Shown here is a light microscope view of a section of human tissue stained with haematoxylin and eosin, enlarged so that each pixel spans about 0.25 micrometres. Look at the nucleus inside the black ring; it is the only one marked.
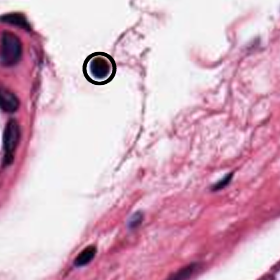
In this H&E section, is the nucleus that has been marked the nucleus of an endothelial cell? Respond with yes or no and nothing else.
no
